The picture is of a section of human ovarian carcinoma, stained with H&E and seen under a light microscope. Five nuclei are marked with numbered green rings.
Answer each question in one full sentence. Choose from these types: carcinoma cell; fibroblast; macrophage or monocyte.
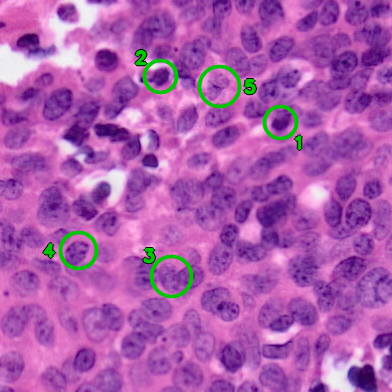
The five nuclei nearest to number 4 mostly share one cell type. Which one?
Macrophages or monocytes make up most of the five nuclei closest to number 4.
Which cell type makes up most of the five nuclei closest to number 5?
The majority of the five nuclei closest to number 5 belong to carcinoma cells.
